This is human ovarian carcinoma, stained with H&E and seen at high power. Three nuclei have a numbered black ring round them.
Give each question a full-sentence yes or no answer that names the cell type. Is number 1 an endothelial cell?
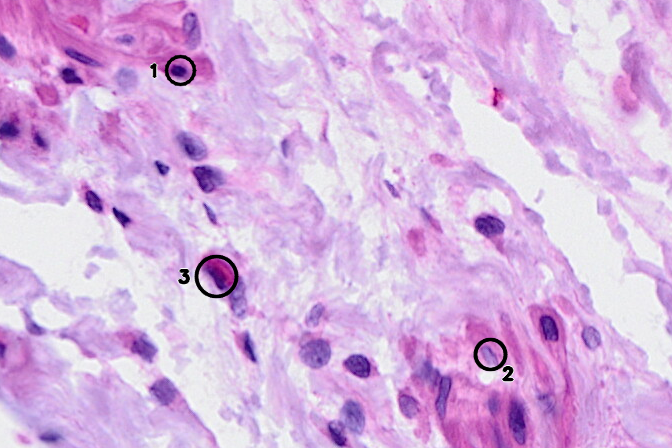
No, the cell labelled number 1 is not an endothelial cell; it is a smooth muscle cell.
